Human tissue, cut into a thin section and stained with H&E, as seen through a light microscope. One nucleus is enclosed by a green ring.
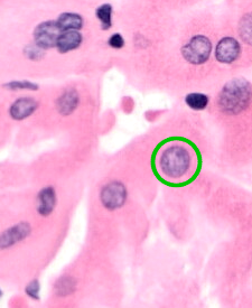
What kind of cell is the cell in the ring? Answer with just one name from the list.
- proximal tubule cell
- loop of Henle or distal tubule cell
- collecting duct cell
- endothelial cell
proximal tubule cell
